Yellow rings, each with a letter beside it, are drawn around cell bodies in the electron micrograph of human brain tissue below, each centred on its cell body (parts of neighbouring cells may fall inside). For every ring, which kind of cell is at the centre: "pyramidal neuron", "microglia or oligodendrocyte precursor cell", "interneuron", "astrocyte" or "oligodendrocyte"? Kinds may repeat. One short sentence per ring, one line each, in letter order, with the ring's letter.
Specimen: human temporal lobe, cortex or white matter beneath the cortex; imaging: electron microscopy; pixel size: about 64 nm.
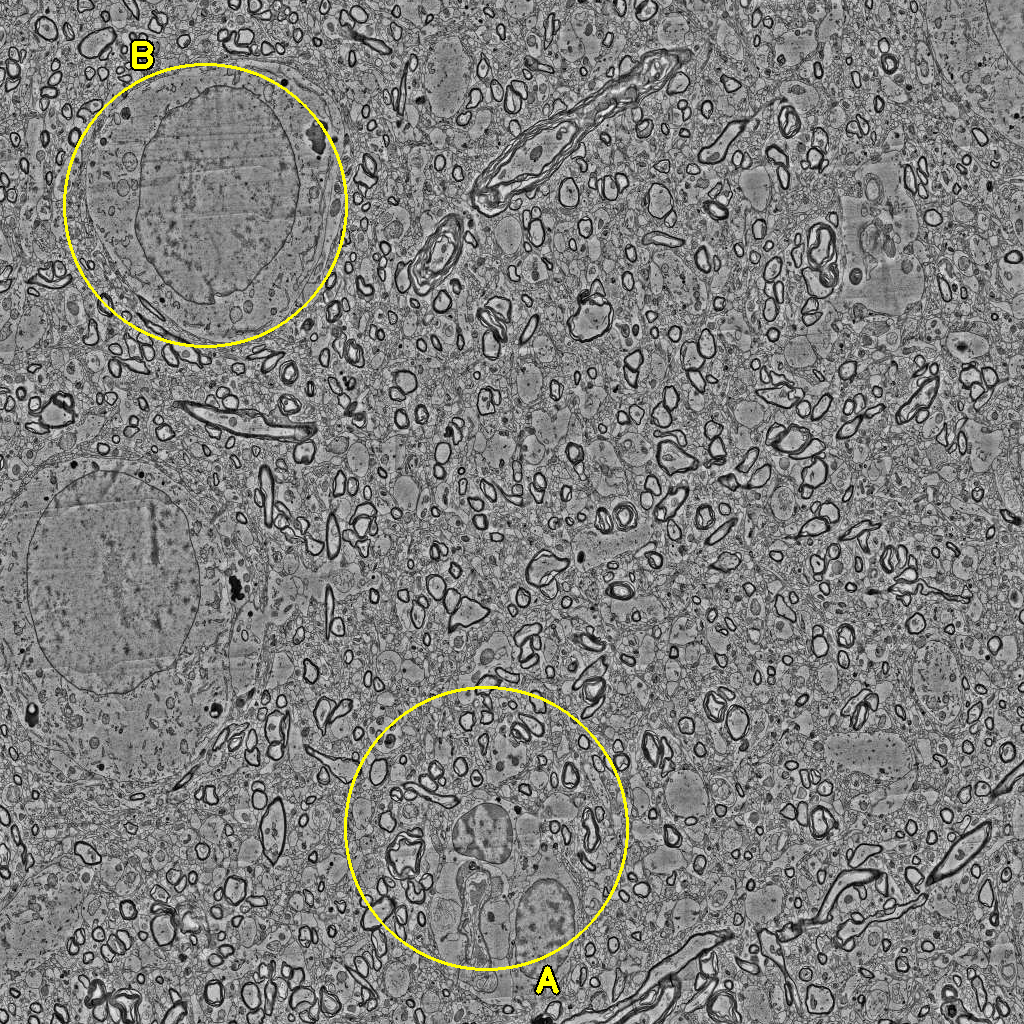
The cell in ring A is a microglial cell or oligodendrocyte precursor cell.
The cell in ring B is a pyramidal neuron.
